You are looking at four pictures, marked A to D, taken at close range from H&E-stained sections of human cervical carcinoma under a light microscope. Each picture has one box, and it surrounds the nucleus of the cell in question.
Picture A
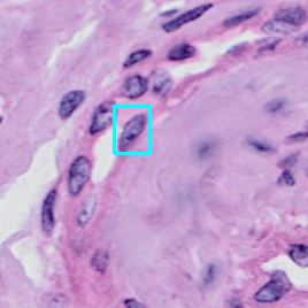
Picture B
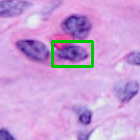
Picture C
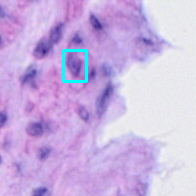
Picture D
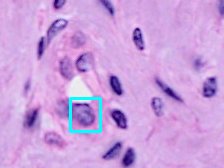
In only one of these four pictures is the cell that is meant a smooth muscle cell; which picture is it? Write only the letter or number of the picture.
C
